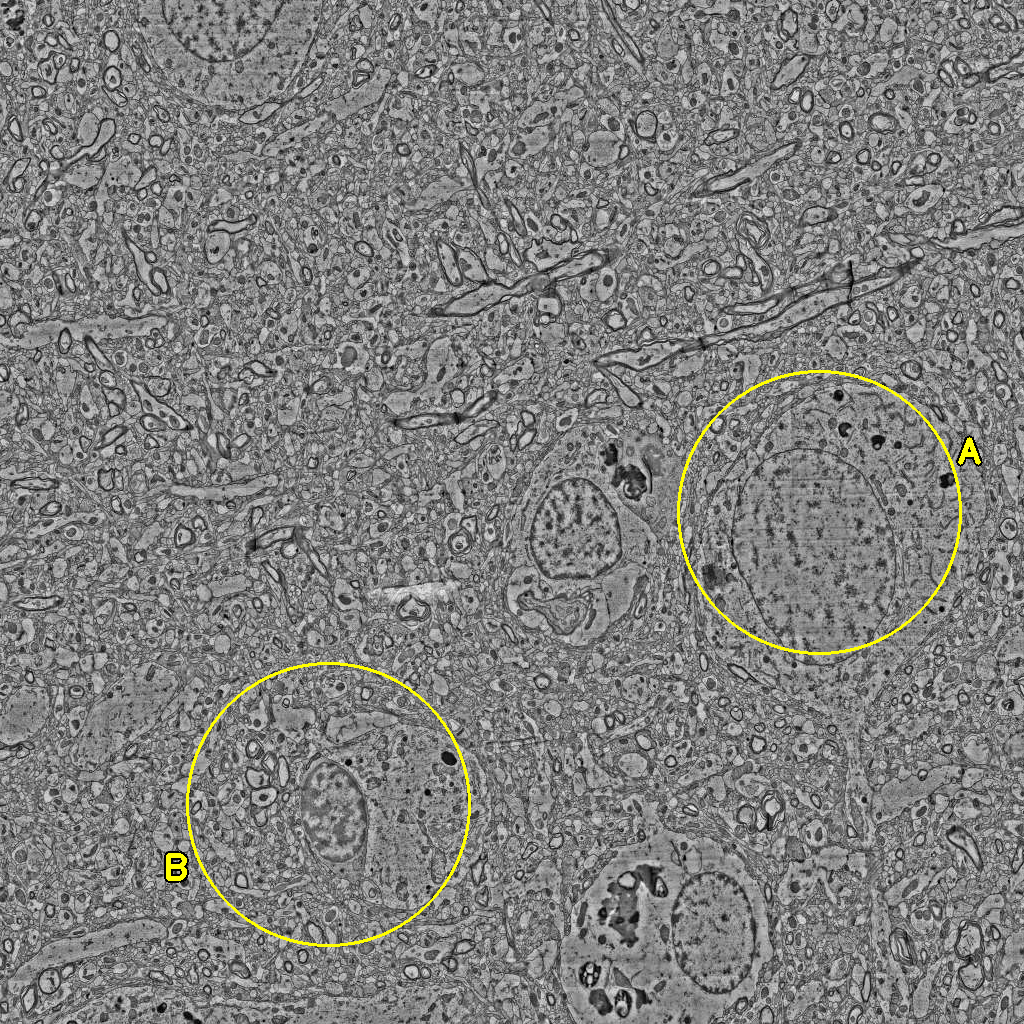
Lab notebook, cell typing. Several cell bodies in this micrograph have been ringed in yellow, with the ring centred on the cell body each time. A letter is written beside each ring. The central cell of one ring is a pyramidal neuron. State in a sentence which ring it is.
It is ring A.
